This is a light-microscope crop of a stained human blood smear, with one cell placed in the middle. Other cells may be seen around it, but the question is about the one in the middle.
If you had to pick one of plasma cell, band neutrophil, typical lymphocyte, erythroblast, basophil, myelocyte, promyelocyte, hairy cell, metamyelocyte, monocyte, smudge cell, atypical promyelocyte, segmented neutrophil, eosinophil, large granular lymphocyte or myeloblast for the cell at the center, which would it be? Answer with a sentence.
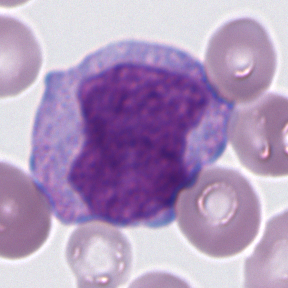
The single cell at the center of the crop is an atypical promyelocyte.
